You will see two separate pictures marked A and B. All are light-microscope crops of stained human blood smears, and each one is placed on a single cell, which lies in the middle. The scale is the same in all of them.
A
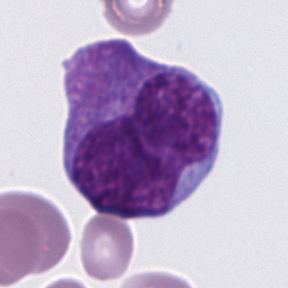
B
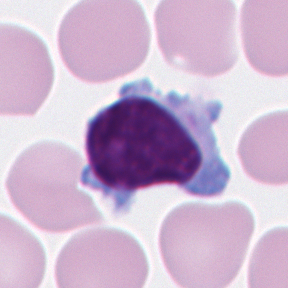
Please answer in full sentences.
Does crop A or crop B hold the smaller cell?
Smaller is the cell in crop B, and the other is about 1.5 times as large in area.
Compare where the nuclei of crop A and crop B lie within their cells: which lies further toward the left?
It is the nucleus in crop B that lies further toward the left of its cell.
